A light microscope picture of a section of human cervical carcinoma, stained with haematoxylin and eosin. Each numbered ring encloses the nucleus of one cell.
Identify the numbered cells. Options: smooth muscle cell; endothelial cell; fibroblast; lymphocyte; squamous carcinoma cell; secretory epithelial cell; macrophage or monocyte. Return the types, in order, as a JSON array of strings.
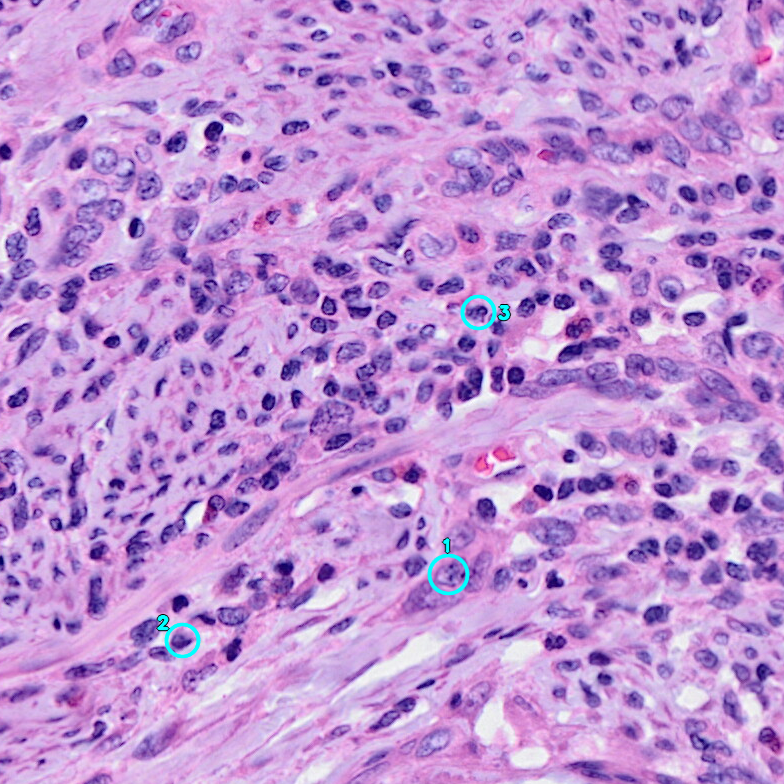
["endothelial cell", "lymphocyte", "lymphocyte"]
